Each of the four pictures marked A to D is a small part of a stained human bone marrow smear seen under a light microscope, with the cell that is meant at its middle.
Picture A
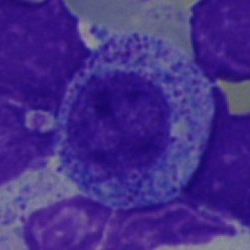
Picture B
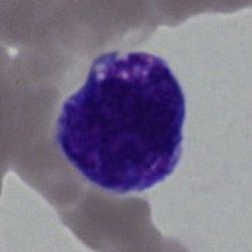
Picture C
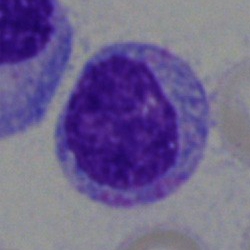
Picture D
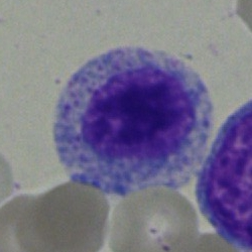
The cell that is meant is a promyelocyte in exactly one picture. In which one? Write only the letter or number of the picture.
B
